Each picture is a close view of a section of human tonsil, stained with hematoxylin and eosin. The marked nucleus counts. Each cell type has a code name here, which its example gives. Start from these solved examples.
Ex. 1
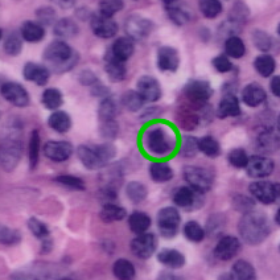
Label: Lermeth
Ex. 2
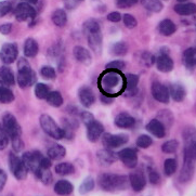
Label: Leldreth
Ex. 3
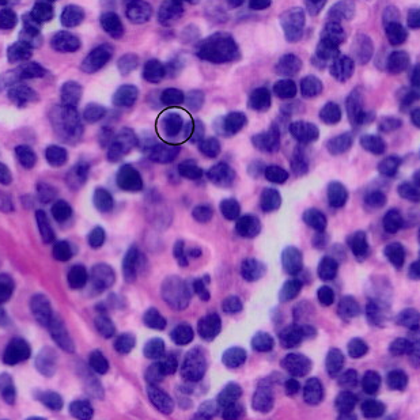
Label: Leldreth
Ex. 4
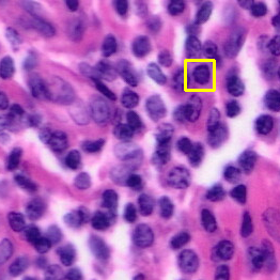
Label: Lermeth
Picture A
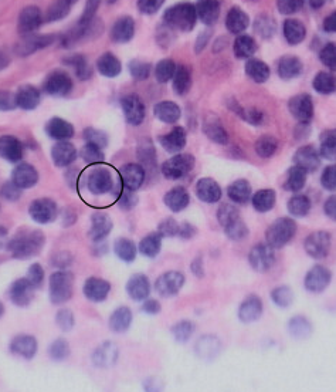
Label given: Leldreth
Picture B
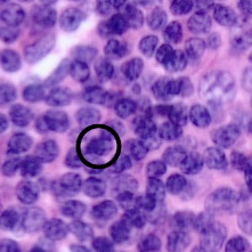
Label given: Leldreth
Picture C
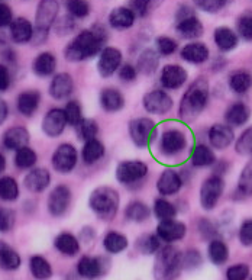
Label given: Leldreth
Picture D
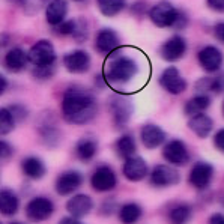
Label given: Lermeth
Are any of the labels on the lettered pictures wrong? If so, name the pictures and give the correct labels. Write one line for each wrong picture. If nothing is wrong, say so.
Wrong: D (Lermeth); correct: Leldreth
